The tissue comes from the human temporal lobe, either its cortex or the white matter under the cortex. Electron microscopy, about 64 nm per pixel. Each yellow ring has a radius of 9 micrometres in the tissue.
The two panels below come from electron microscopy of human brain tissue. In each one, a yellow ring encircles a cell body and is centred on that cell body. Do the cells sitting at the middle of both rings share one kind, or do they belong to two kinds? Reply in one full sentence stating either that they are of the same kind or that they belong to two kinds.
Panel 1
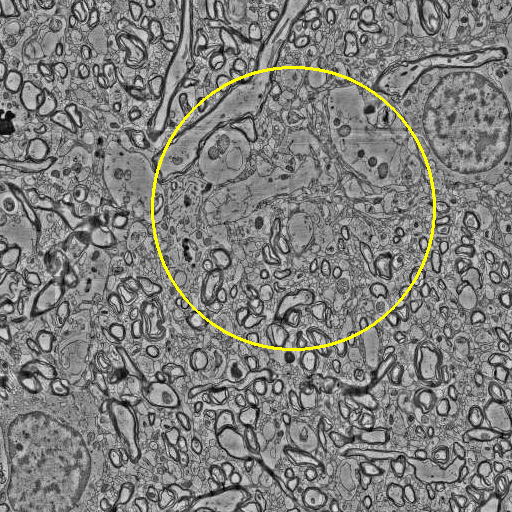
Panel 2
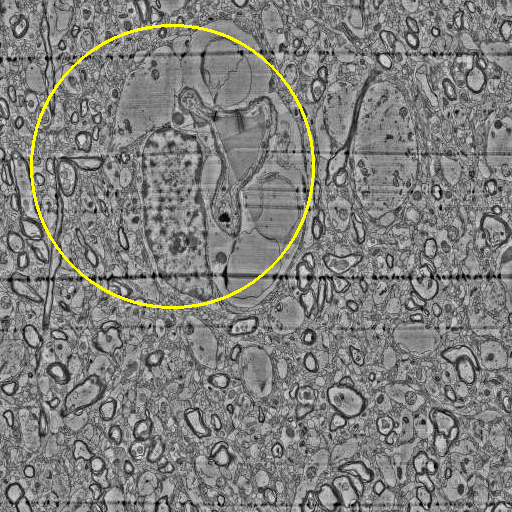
The cells at the centres of the two rings are of the same kind.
